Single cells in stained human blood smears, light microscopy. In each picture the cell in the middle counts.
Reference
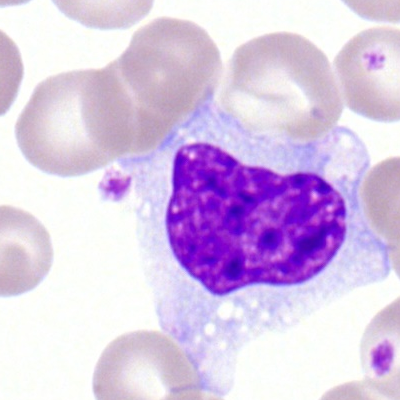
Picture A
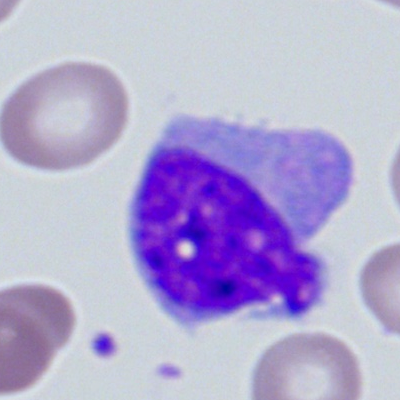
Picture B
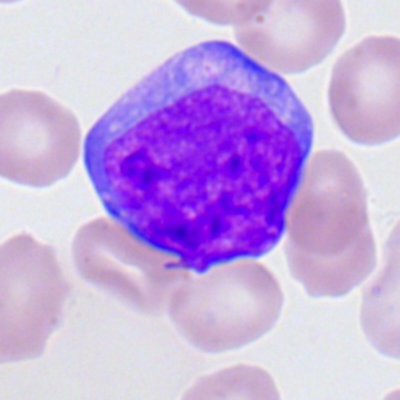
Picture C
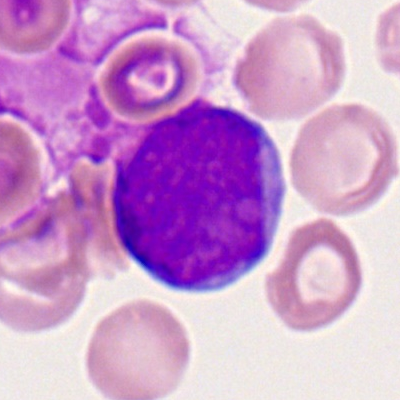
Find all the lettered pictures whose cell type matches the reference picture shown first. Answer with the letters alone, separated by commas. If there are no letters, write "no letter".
A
